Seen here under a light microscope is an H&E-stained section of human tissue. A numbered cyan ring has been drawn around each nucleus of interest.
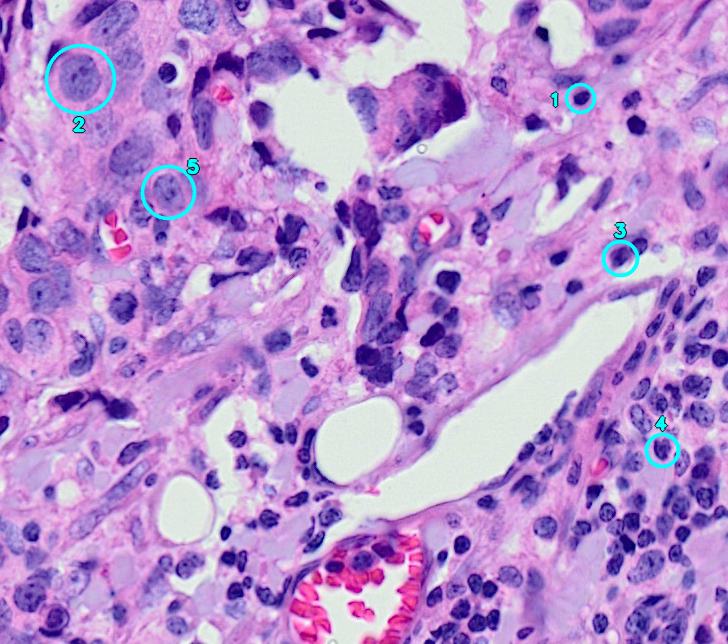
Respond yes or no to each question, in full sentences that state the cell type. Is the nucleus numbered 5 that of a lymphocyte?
No, cell 5, which is a carcinoma cell, is not a lymphocyte.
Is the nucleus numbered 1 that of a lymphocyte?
Yes, looking at number 1, that cell is a lymphocyte.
